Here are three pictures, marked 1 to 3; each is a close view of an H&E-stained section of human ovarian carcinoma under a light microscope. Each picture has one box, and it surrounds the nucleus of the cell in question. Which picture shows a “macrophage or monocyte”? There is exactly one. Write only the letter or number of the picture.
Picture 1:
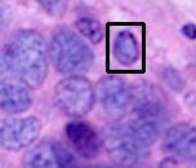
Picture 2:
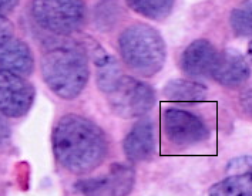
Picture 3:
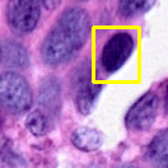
1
